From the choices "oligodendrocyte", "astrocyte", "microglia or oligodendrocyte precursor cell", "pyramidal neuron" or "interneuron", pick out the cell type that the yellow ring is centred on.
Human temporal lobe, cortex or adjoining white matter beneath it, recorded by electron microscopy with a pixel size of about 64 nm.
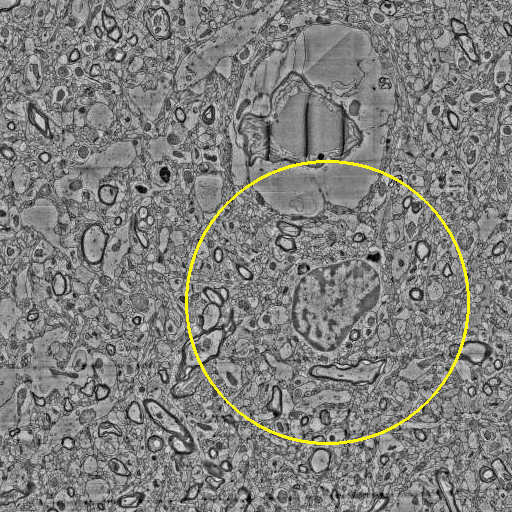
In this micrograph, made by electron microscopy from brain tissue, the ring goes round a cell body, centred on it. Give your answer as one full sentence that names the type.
The yellow ring is centred on a microglial cell or oligodendrocyte precursor cell, whose cell body it encircles in the picture.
